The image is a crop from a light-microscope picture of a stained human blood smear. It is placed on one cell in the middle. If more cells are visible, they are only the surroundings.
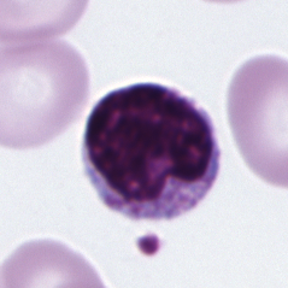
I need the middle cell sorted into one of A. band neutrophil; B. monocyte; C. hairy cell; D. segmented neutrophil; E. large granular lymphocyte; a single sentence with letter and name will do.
Option E is the right one, for the cell in the middle is a large granular lymphocyte.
